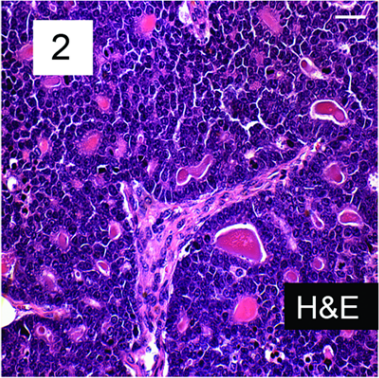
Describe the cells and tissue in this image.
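Solid sheets of crowded epithelial cells with dark purple nuclei are dotted with many small round lumina filled with pink eosinophilic material. A band of paler, fibrous stroma crosses the field.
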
